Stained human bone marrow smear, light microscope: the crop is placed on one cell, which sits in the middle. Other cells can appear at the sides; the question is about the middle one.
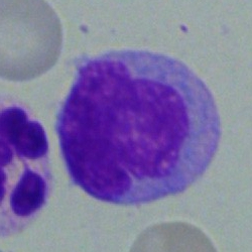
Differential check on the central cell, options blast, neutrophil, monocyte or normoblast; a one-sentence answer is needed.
At the center of the crop sits a monocyte.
